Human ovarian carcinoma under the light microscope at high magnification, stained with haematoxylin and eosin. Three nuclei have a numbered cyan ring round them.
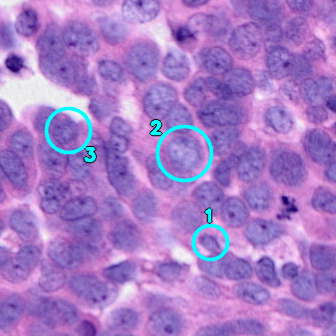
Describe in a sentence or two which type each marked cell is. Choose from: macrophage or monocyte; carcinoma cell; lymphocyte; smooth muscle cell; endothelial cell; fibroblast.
Cell 1 is a macrophage or monocyte. Cells 2 and 3 are carcinoma cells.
